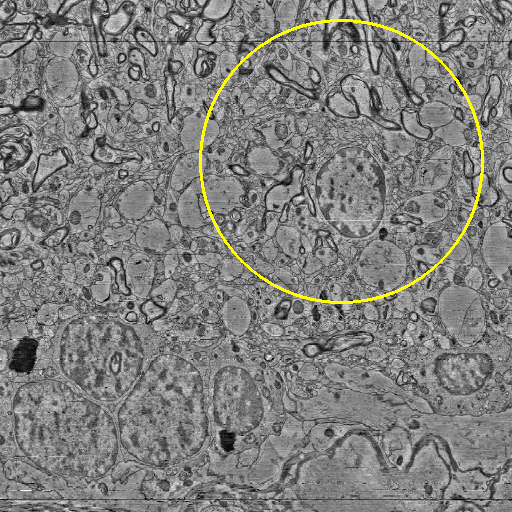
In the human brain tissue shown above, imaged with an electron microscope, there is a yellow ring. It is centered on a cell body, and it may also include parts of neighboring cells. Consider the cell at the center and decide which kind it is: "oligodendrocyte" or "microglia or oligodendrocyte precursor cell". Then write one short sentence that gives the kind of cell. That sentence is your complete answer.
This centered cell body is that of a microglial cell or oligodendrocyte precursor cell.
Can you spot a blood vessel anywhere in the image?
Yes, there is a blood vessel in the image.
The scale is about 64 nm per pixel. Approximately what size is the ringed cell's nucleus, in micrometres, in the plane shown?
About 6 by 5 micrometers for the nucleus, in this plane.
